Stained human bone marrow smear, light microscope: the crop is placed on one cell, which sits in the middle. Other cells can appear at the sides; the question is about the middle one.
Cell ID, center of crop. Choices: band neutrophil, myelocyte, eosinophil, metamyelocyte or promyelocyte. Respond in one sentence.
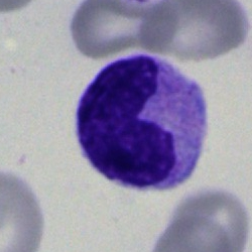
The middle position in this crop is taken by a metamyelocyte.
